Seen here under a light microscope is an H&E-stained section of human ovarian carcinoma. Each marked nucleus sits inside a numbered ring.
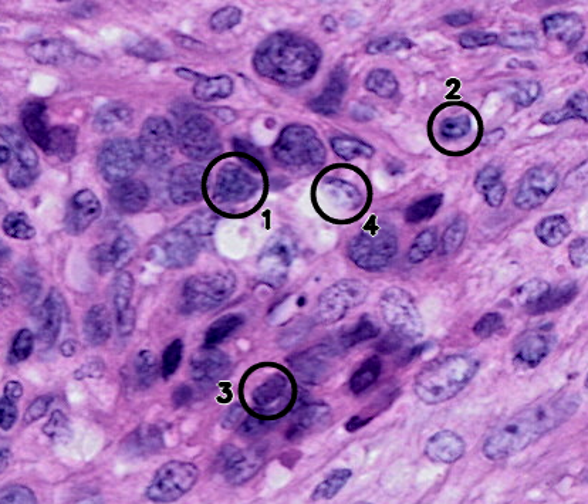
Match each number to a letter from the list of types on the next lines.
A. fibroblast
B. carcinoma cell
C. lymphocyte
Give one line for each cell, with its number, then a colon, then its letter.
1: B
2: C
3: B
4: A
